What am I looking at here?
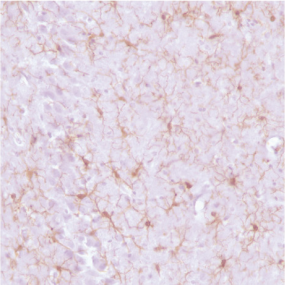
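The microglia have small, dark, somewhat elongated cell bodies from which many fine, repeatedly branching processes radiate in all directions. Their processes are long and dense enough that neighbouring cells' branches come close to one another, giving a web-like brown network across the field. Between them lie larger, paler, purple-tinged cell bodies of the surrounding tissue, which are unstained by the brown label. The brown cells are spread fairly evenly rather than clustered.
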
